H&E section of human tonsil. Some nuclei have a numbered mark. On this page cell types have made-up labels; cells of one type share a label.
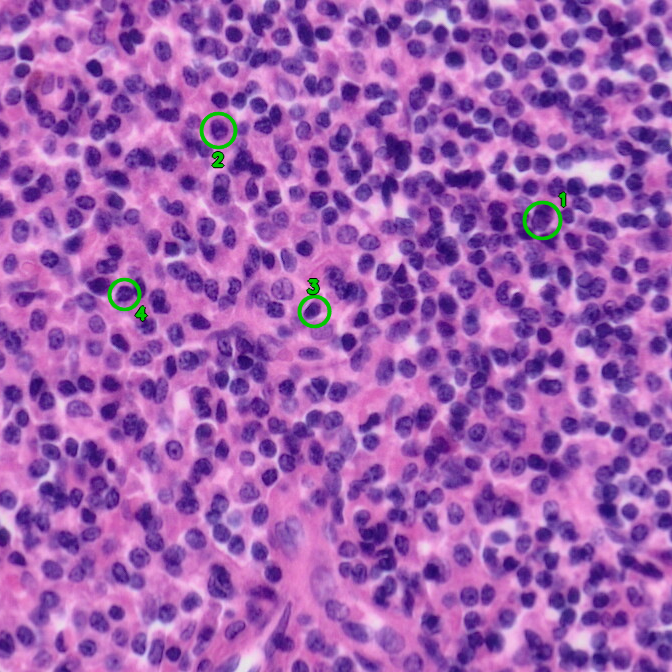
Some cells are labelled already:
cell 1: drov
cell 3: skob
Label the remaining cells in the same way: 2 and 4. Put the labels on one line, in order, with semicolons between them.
skob; skob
